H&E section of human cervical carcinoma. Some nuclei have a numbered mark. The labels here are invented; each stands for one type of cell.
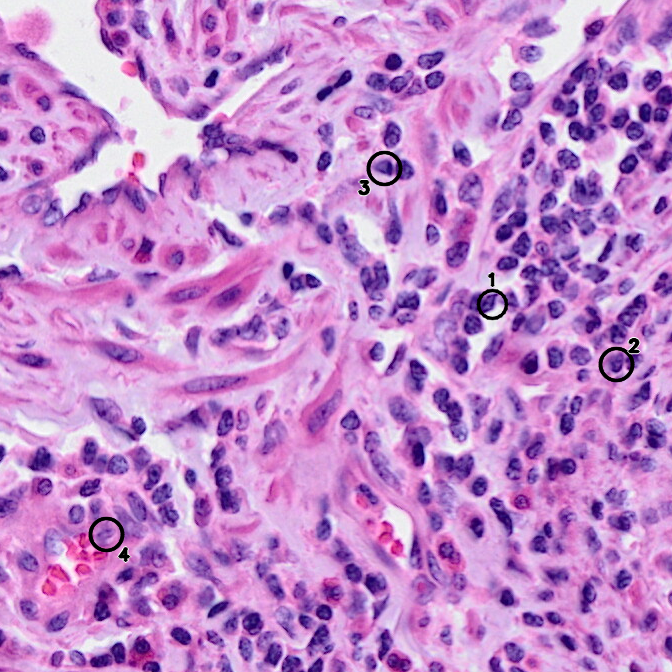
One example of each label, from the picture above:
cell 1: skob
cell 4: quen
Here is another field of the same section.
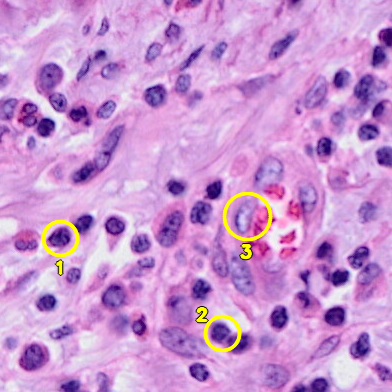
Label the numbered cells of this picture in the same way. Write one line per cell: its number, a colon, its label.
1: skob
2: skob
3: quen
